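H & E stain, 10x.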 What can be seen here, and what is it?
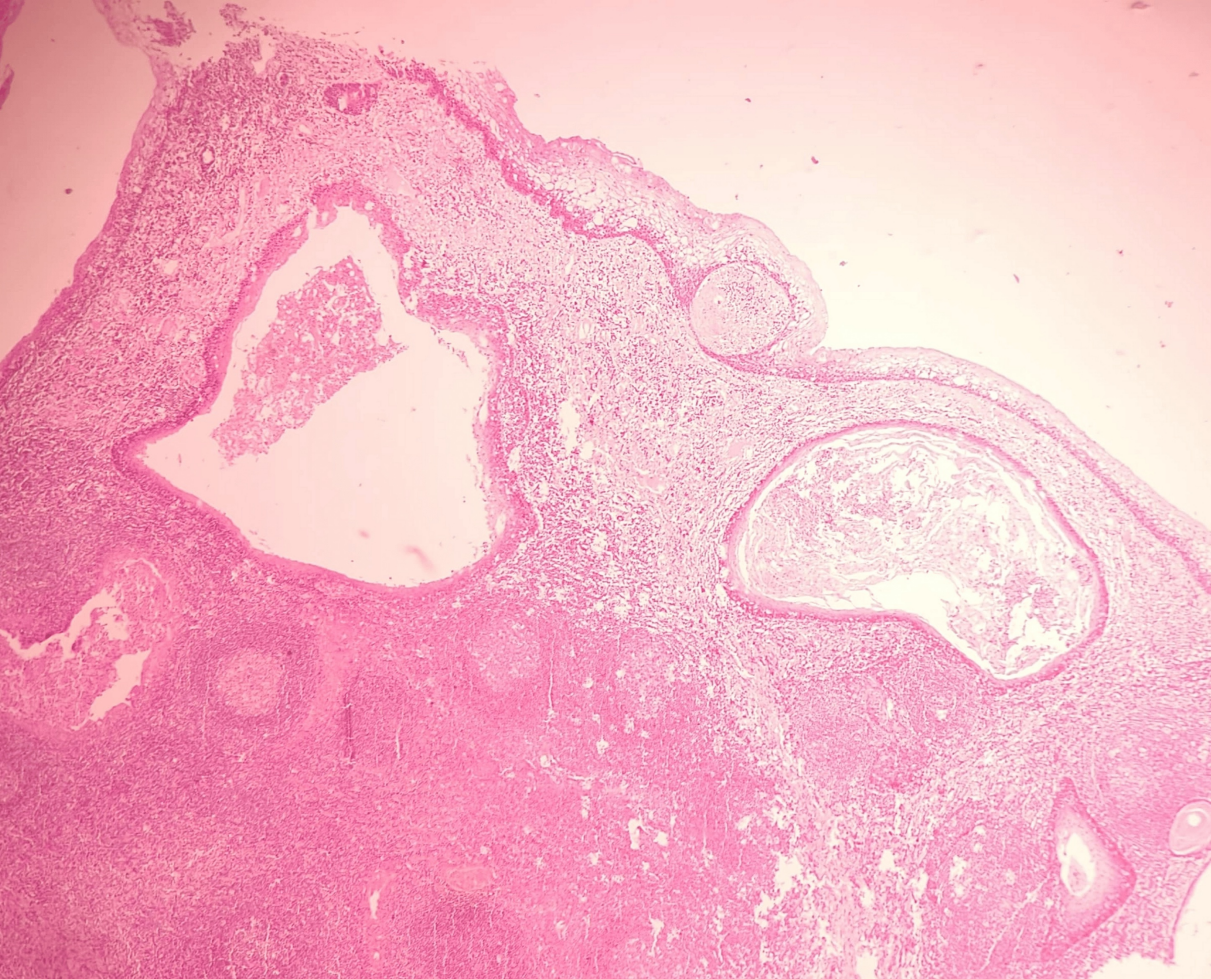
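This low-power section shows lymphoid tissue covered by stratified squamous epithelium, and it contains two epithelium-lined cysts. The lower half is filled with densely packed small lymphocytes, which stain deep purple-pink. Within them lie several rounded lymphoid follicles of differing sizes, each with a paler centre. The upper surface is covered by a multilayered squamous epithelium.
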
